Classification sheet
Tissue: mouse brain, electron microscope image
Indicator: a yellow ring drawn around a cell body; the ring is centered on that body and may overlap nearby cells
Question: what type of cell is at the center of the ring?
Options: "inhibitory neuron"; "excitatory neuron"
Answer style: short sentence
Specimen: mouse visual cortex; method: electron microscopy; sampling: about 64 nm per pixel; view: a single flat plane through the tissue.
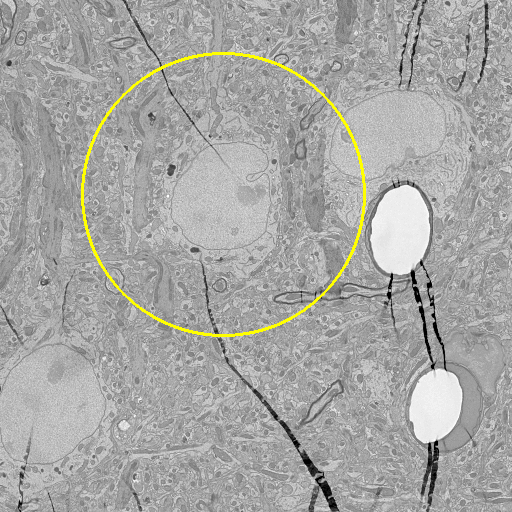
At the ring's center is an excitatory neuron.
